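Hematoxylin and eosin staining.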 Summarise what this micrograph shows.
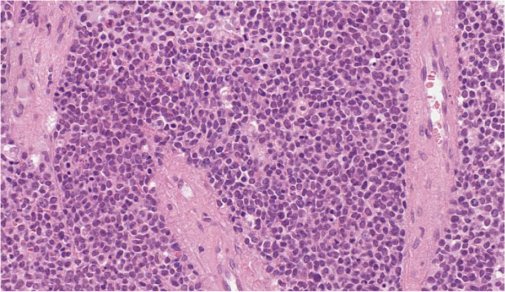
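This is a cellular tumour made of small to medium-sized round cells packed in solid sheets. The nuclei are round and dark purple, with only a thin rim of cytoplasm around each, so the field looks blue at low power. No glands or other organised structures are formed by the cells. Pale pink, glassy fibrous bands cross the field and carry small blood vessels, dividing the cells into nests.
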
